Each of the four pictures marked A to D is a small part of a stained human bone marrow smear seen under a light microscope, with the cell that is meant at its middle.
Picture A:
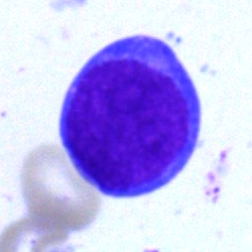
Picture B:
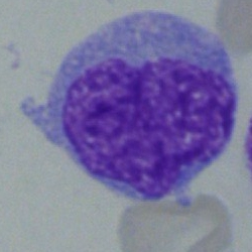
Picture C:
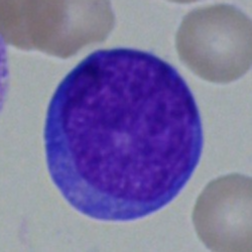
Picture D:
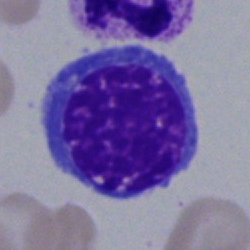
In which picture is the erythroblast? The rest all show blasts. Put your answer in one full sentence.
It is picture D that shows the erythroblast.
